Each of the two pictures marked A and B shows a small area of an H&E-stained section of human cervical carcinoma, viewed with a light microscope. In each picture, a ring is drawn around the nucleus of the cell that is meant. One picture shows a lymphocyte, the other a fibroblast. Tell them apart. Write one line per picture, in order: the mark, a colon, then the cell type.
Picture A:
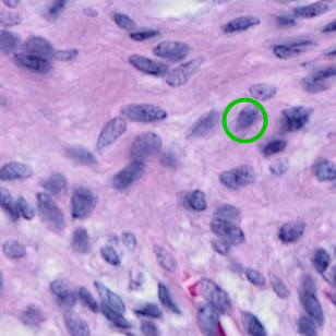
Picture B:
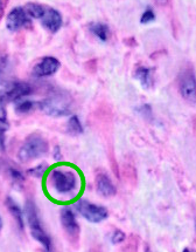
A: fibroblast
B: lymphocyte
